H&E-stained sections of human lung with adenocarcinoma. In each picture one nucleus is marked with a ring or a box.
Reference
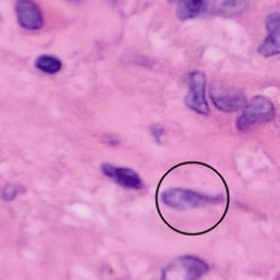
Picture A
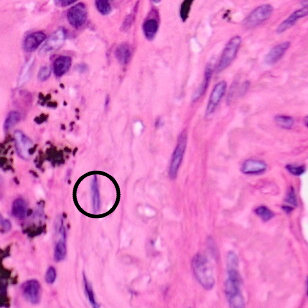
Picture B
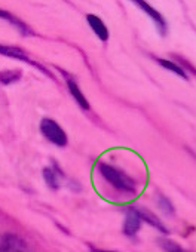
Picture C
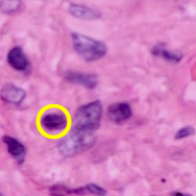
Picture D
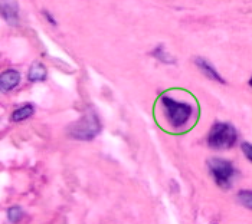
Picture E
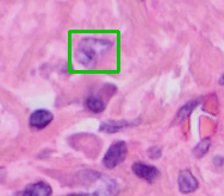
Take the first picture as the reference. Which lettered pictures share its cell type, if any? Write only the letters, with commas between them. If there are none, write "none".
A, E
